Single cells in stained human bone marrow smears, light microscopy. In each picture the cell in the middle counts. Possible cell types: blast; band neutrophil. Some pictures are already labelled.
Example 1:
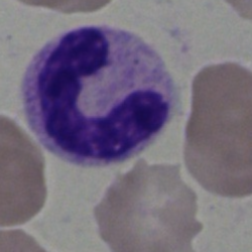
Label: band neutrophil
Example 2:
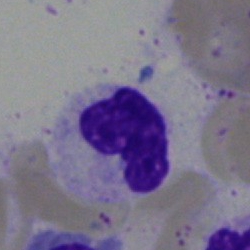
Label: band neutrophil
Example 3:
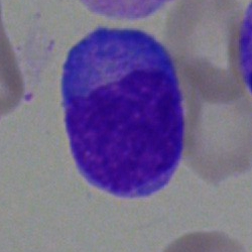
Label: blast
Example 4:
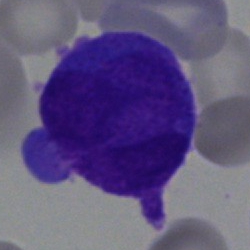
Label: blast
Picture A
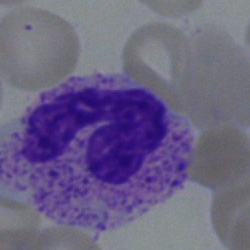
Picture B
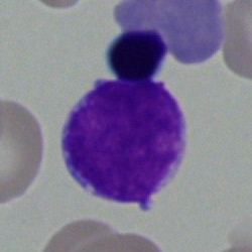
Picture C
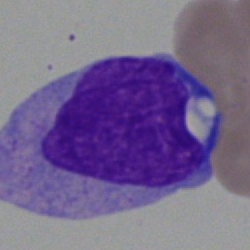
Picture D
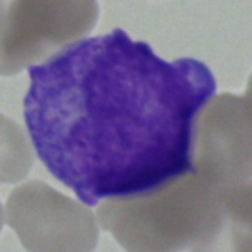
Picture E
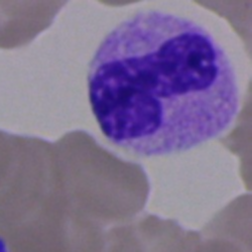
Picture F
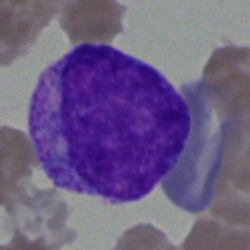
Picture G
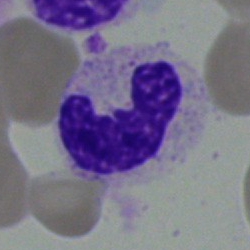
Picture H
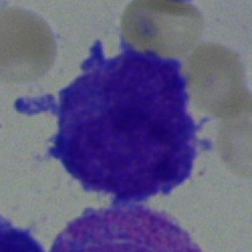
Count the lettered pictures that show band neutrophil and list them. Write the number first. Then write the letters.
3, namely A, E, G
